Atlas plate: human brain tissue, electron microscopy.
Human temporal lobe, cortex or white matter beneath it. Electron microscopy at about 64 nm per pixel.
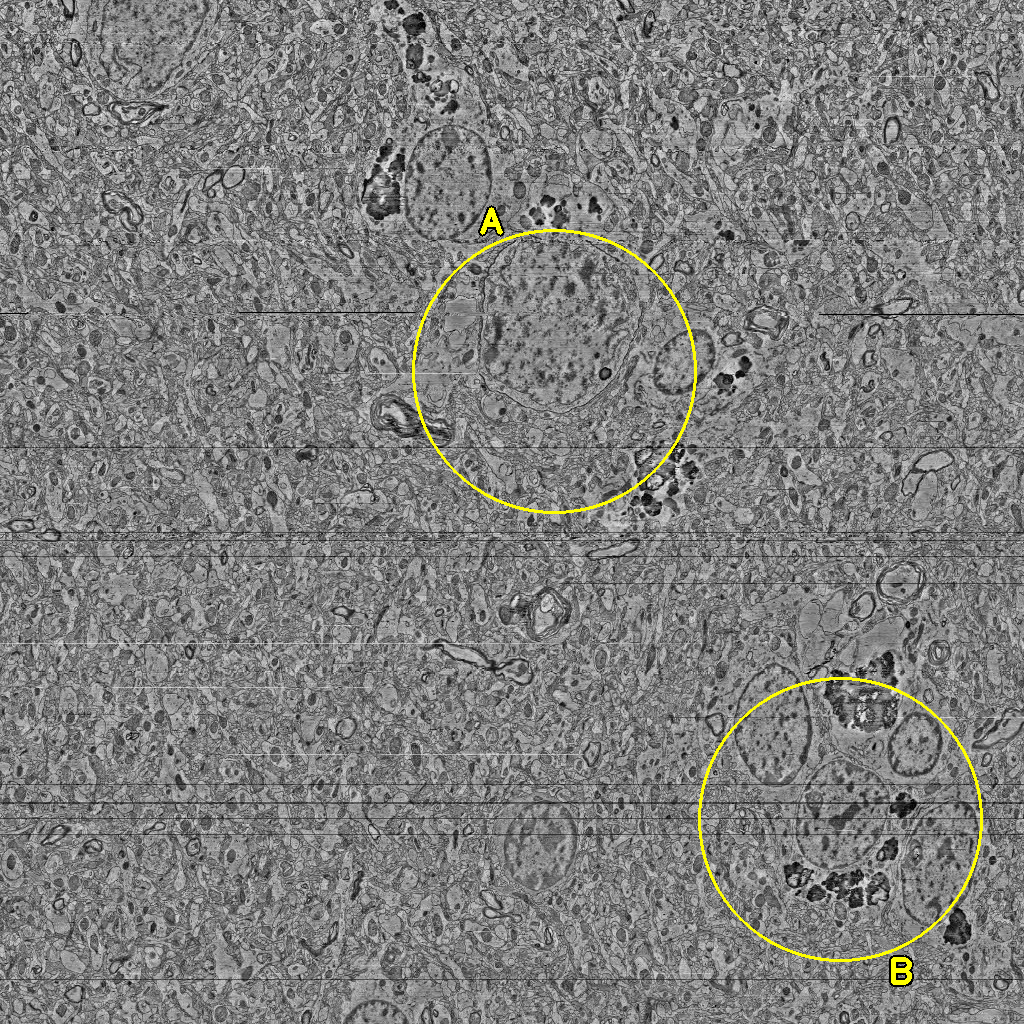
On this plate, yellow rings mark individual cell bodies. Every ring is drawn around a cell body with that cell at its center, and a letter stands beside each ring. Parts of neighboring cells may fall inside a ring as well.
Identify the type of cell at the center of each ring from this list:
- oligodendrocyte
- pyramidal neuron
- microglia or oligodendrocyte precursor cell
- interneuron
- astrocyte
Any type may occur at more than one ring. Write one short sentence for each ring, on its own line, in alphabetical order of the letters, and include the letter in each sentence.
At the center of ring A lies an interneuron.
At the center of ring B lies an astrocyte.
